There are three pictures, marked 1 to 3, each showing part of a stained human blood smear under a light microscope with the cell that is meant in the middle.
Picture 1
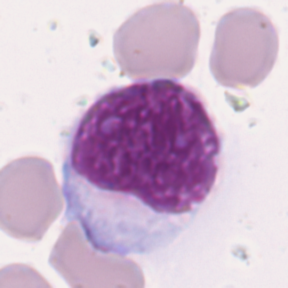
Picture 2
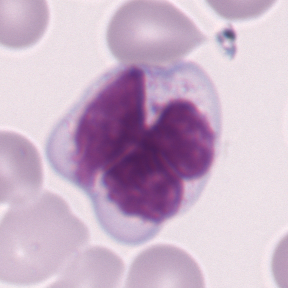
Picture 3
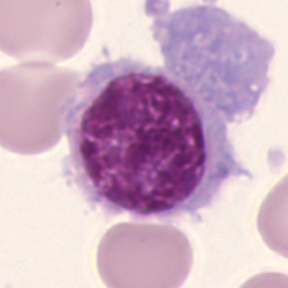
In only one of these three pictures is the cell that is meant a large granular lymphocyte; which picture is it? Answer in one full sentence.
Picture 2 is the one that shows the large granular lymphocyte.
